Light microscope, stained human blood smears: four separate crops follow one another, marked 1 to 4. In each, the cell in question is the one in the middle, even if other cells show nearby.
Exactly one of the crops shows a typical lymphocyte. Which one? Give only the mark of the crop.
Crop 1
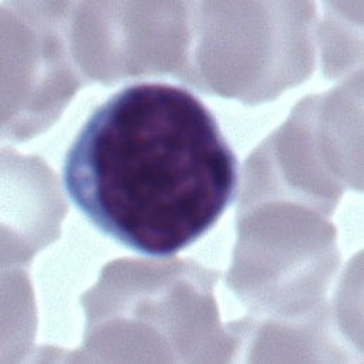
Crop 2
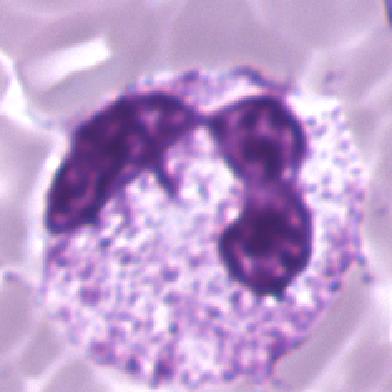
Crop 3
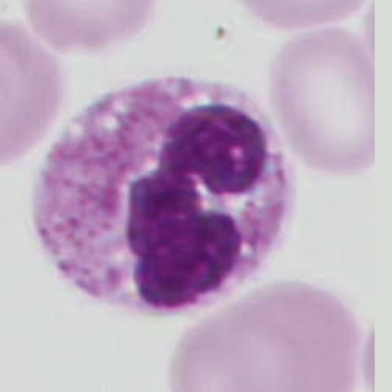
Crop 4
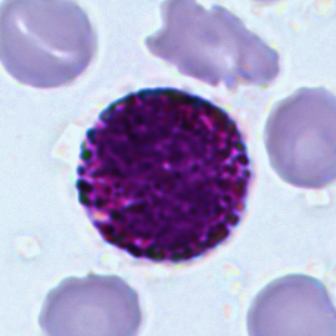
1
